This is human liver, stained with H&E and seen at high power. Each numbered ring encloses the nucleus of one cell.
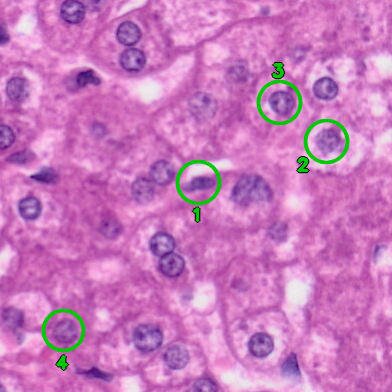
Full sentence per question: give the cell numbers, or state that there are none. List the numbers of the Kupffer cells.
Where the numbered cells are concerned, only number 1 is a Kupffer cell.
